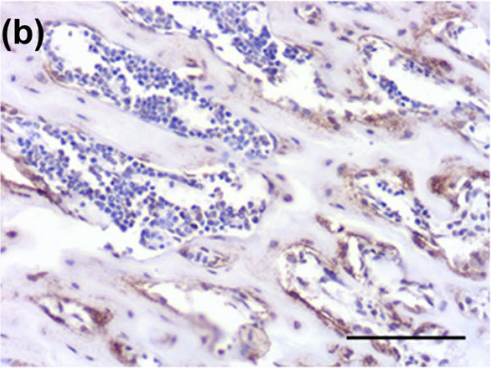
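This section shows trabecular bone, with pale bone struts running diagonally between spaces filled with marrow. The marrow spaces are crowded with small round cells with dark blue nuclei. Flattened cells with brown staining line the edges of the bone struts. Scattered small cells with blue nuclei lie within the pale bone matrix itself.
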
